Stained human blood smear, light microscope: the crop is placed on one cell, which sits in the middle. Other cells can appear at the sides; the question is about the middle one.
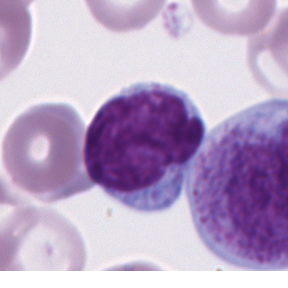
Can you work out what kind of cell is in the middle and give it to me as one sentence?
At the middle of the frame sits a typical lymphocyte.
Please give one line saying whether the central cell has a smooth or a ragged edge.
You can see a smooth boundary, with no projections sticking out.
